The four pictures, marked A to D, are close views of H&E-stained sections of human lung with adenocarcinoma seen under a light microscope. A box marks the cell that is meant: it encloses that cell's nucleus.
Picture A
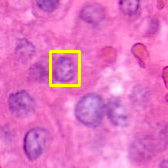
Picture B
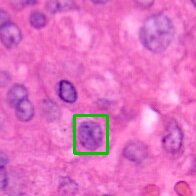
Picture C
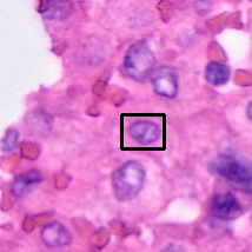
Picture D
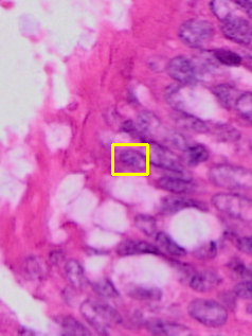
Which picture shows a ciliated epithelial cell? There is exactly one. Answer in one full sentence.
The picture with the ciliated epithelial cell is D.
